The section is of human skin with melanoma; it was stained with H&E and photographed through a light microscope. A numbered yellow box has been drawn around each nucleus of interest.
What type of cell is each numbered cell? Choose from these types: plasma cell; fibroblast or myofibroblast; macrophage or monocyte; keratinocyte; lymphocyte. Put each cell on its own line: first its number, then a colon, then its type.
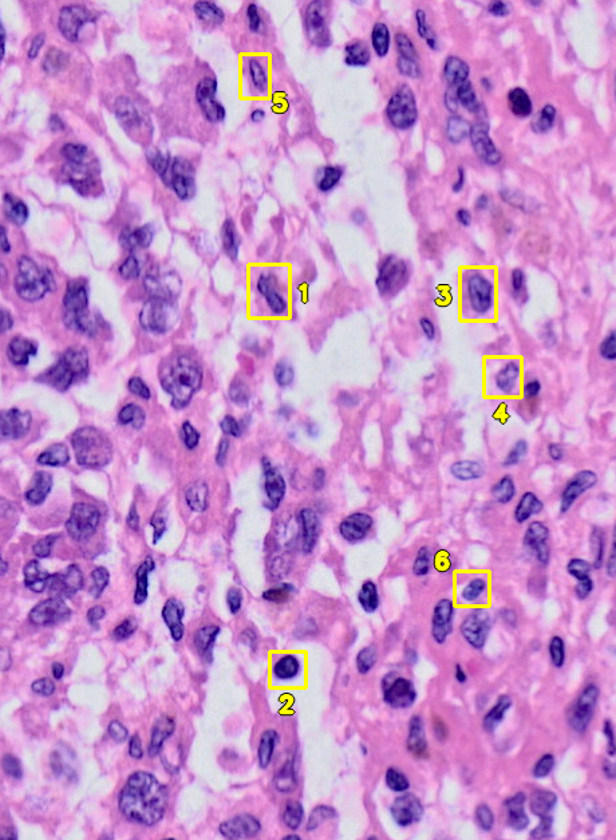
1: macrophage or monocyte
2: lymphocyte
3: macrophage or monocyte
4: macrophage or monocyte
5: macrophage or monocyte
6: lymphocyte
